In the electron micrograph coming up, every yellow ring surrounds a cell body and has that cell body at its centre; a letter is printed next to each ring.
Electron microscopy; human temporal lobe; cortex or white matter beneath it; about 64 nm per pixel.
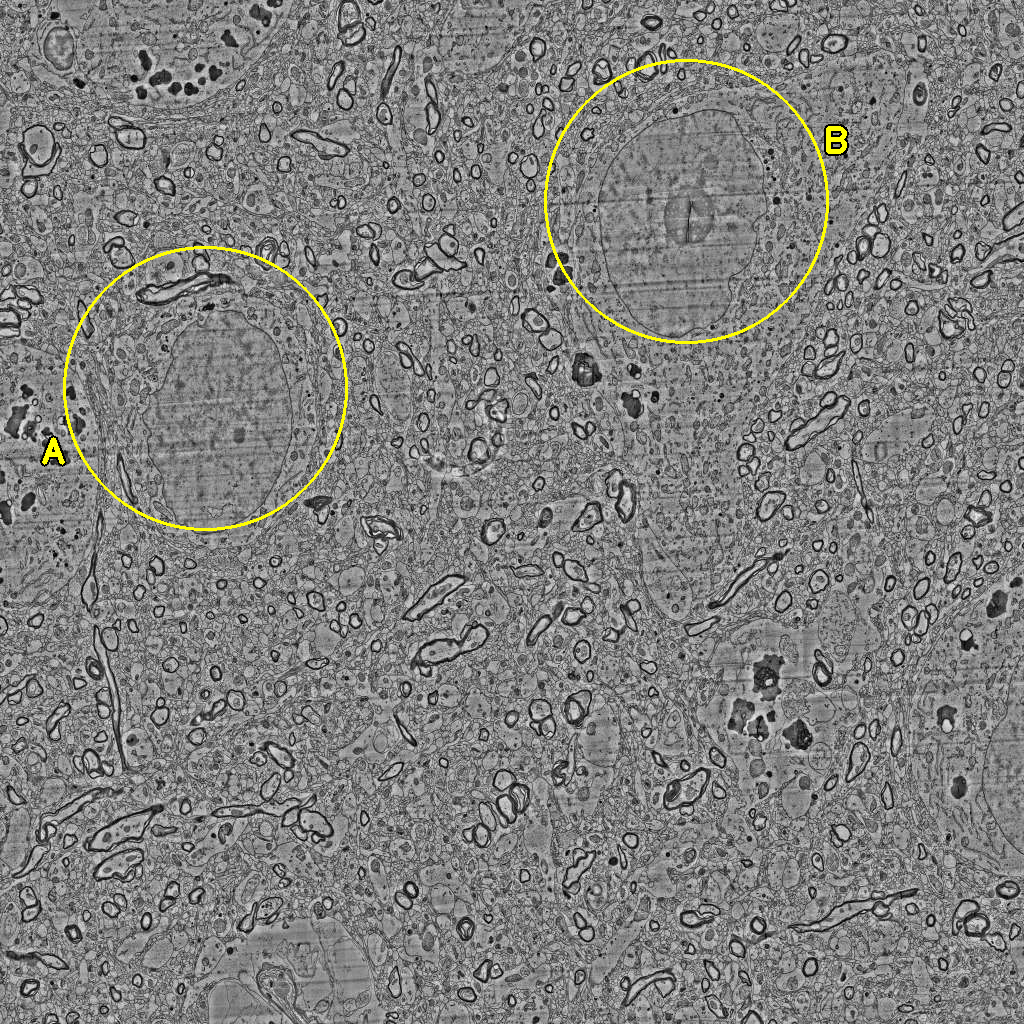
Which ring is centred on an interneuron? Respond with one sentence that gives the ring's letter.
Ring A is the one whose centre sits on the cell asked for in the picture.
